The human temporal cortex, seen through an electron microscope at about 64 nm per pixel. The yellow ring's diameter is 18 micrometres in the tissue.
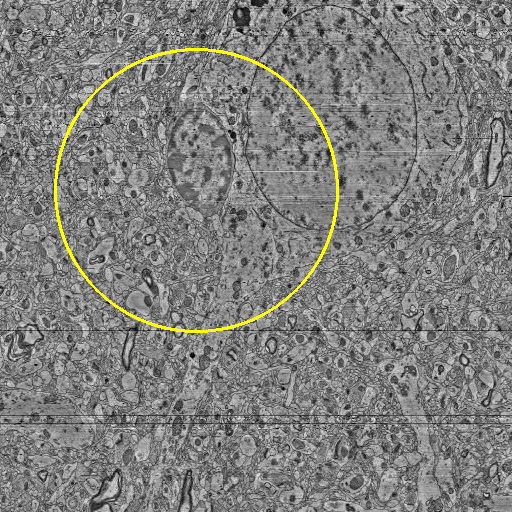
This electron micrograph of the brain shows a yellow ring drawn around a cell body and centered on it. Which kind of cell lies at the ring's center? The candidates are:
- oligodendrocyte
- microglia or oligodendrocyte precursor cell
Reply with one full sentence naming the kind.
The cell lying at the ring's center in this micrograph is an oligodendrocyte.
